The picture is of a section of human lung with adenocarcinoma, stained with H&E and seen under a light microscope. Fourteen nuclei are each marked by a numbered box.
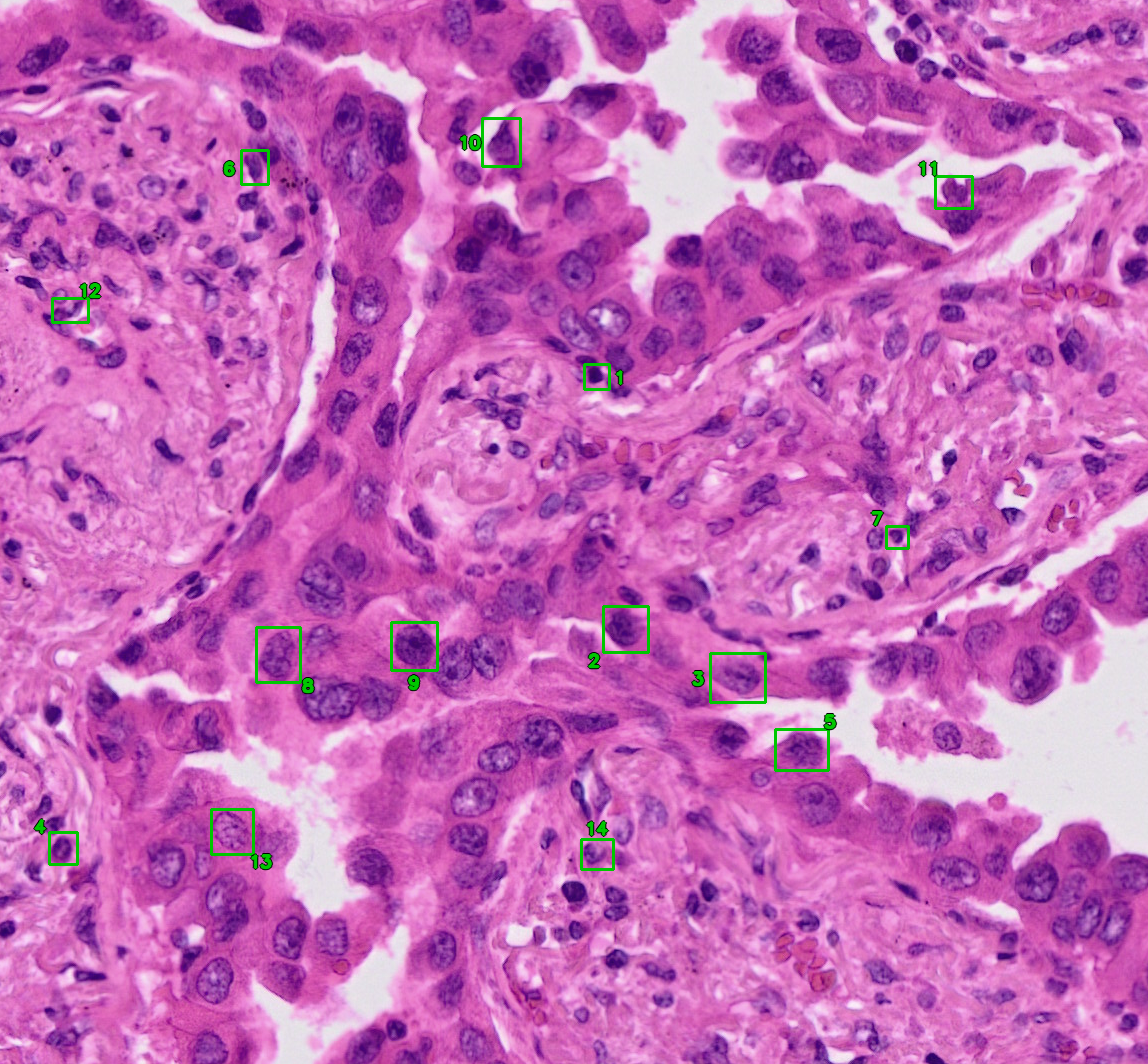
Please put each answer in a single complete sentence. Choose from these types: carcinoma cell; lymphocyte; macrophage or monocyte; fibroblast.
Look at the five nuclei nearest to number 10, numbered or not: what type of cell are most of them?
Macrophages or monocytes make up most of the five nuclei closest to number 10.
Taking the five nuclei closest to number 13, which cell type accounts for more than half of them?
Most of the five nuclei nearest to number 13 are those of carcinoma cells.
